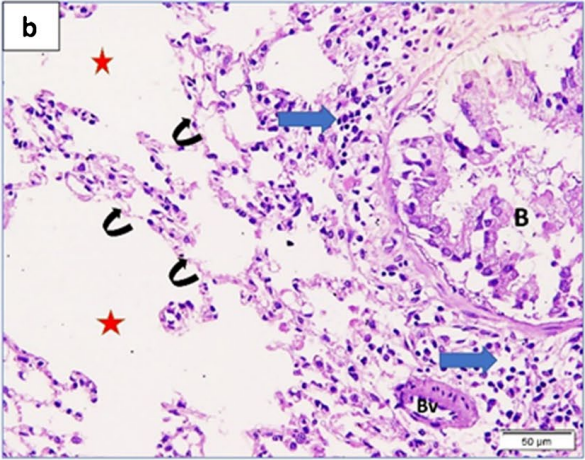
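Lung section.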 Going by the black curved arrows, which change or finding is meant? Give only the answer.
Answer: Thinning of alveolar septa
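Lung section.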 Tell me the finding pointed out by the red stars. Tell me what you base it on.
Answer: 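The stars lie in very large empty spaces. Only thin fragmented walls separate these spaces.
Massive enlargement of airspaces.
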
